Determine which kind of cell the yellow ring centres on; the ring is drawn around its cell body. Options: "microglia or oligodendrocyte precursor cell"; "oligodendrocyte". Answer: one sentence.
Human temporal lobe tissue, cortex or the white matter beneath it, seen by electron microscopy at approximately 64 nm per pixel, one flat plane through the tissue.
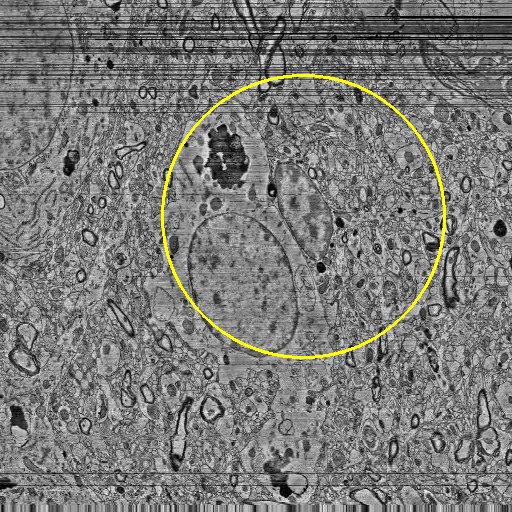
The ring centres on a microglial cell or oligodendrocyte precursor cell.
